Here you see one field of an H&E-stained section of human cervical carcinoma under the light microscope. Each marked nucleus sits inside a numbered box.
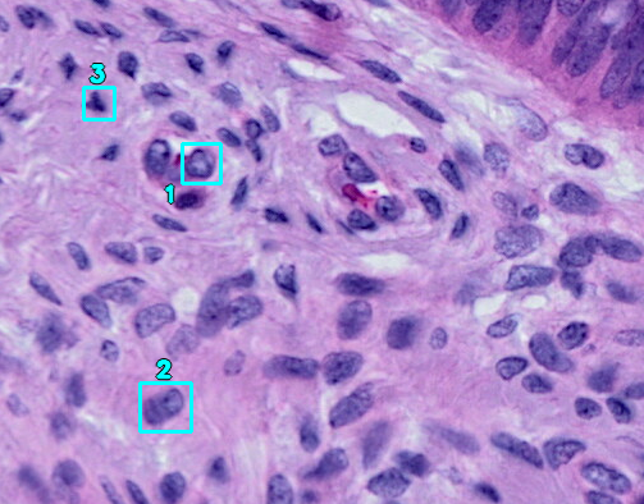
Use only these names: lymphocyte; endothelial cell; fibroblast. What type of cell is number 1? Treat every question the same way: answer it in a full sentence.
Identified as an endothelial cell is the cell bearing the number 1.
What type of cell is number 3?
The numbered cell 3 is identified here as a fibroblast.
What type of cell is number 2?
The expected answer is that cell 2 is a fibroblast.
